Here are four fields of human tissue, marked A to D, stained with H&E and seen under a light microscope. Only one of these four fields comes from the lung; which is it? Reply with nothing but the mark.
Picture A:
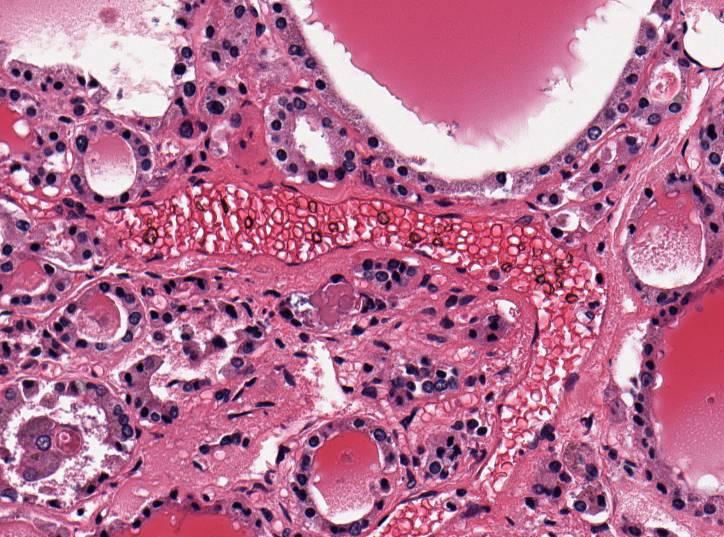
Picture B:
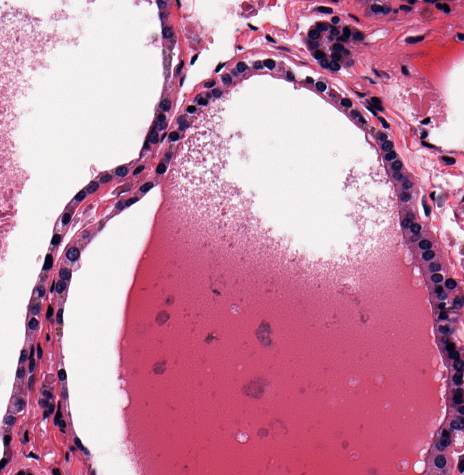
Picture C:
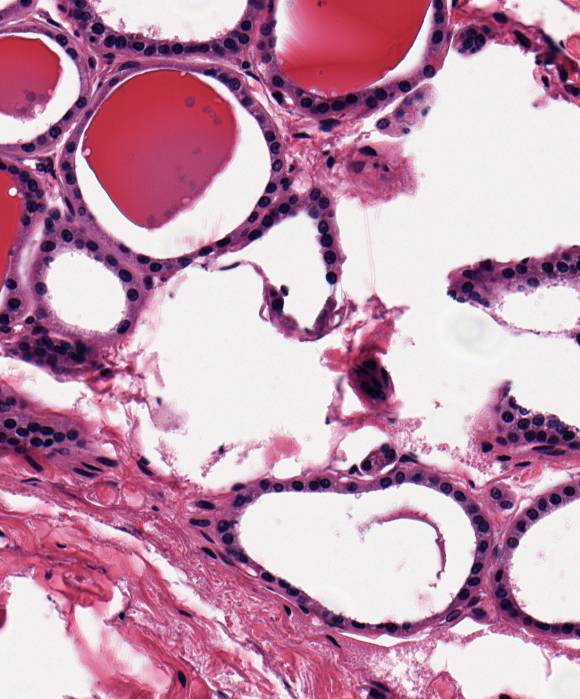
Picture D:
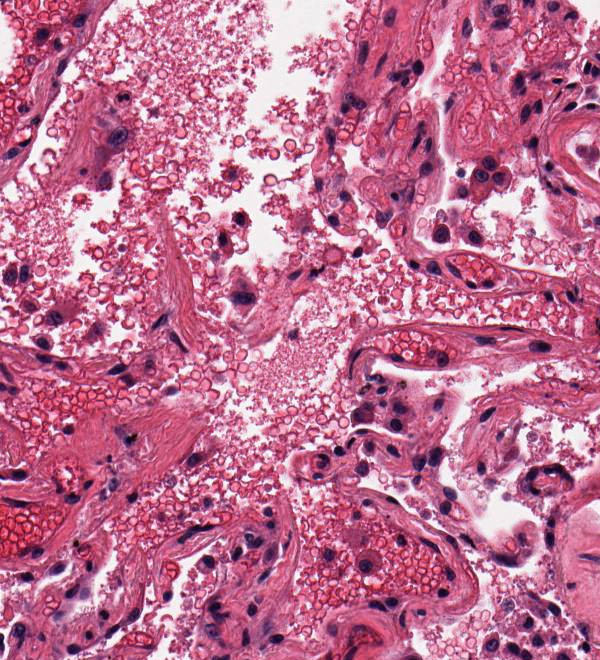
D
